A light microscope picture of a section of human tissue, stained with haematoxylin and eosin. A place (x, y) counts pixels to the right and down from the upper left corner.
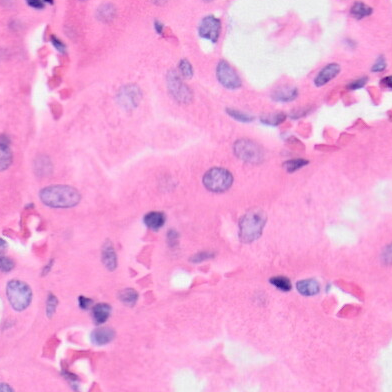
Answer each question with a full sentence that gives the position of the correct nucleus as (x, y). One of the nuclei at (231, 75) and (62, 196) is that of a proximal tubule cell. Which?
Of the two, the nucleus at (62, 196) is the one contained in a proximal tubule cell.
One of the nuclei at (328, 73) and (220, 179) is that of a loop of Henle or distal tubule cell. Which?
It is the nucleus at (328, 73) that forms part of a loop of Henle or distal tubule cell.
